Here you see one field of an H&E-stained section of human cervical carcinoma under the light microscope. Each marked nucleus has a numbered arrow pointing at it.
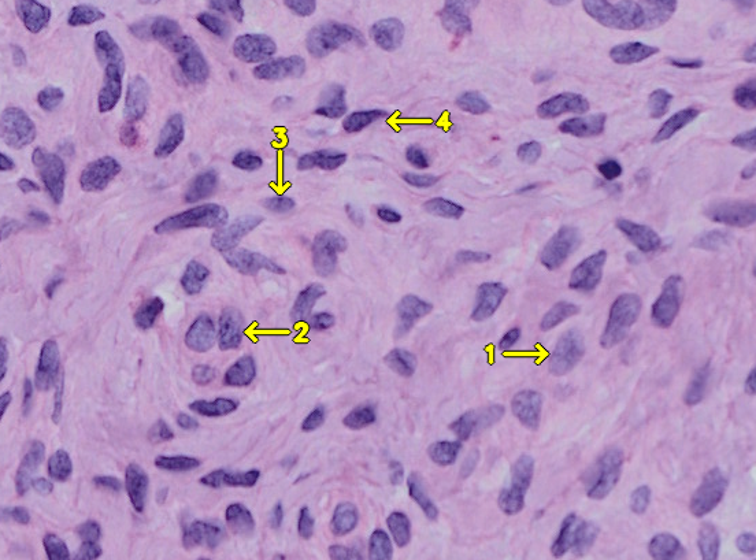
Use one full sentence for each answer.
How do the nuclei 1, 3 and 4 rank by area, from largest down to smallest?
Largest first, the order by area is 1, 4, 3.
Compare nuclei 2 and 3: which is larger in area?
At about 2 times the area of nucleus 3, nucleus 2 is the larger of the two.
